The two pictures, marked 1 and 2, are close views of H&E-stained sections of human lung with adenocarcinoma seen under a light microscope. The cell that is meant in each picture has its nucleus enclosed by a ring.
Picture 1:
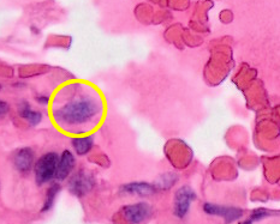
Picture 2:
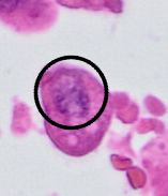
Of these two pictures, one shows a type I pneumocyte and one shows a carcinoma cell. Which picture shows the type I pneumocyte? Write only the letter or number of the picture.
1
